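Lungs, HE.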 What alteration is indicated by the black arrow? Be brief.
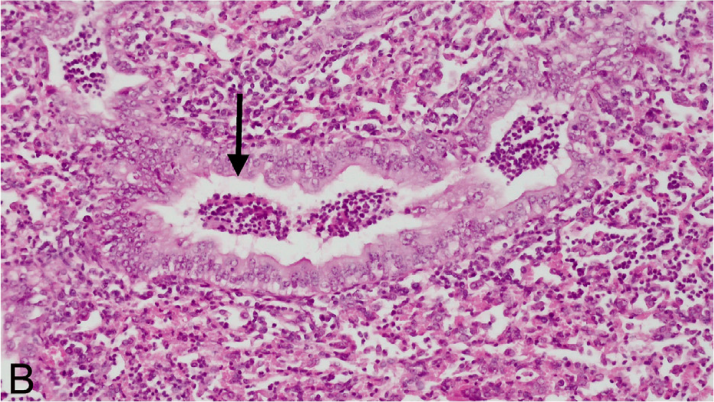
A: Exudate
